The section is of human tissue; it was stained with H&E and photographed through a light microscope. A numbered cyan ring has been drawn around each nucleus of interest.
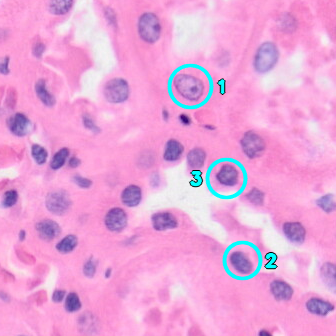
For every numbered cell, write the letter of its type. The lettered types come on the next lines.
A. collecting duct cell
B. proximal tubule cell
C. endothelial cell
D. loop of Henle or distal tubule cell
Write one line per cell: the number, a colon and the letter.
1: B
2: D
3: D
